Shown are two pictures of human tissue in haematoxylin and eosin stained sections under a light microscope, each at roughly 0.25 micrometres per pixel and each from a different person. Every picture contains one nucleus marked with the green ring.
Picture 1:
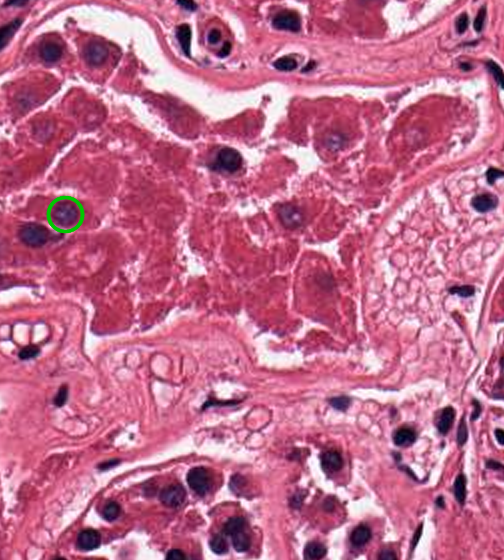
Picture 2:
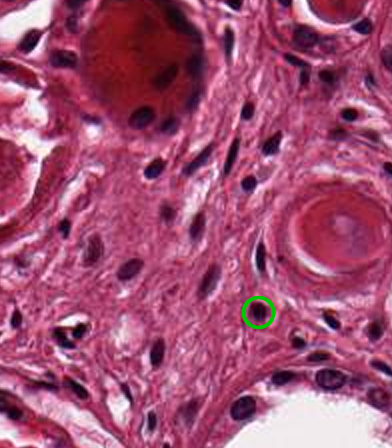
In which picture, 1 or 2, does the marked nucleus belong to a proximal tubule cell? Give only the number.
1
